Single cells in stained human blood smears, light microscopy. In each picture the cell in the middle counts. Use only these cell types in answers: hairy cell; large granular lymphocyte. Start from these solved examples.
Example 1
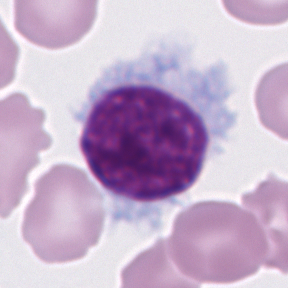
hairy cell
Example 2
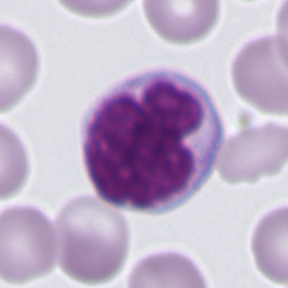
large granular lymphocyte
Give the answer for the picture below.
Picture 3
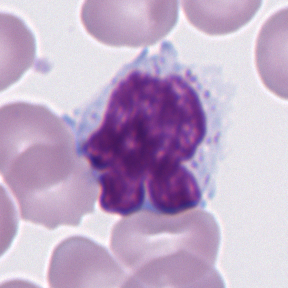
large granular lymphocyte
